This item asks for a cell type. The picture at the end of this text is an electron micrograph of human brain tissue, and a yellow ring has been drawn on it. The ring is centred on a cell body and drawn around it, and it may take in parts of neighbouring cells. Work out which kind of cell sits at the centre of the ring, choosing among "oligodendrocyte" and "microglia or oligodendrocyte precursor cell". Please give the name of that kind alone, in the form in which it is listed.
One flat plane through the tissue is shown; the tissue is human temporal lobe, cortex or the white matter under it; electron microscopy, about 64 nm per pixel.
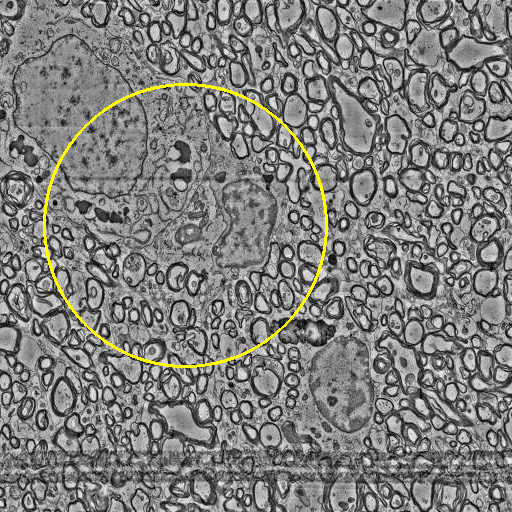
microglia or oligodendrocyte precursor cell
